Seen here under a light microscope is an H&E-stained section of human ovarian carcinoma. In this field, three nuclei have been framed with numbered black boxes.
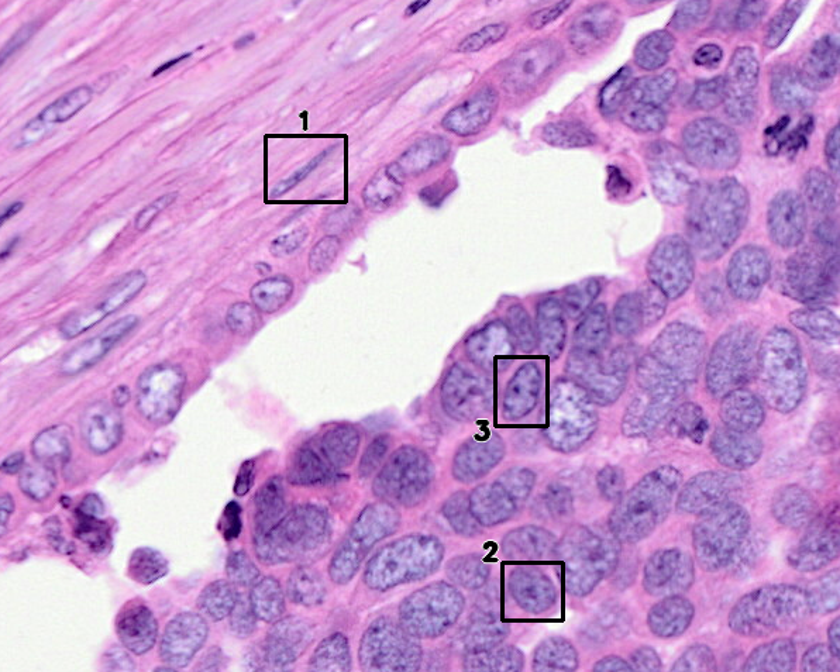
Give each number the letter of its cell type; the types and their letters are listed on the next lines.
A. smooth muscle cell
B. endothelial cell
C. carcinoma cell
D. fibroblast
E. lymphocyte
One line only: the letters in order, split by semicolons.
D; C; C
